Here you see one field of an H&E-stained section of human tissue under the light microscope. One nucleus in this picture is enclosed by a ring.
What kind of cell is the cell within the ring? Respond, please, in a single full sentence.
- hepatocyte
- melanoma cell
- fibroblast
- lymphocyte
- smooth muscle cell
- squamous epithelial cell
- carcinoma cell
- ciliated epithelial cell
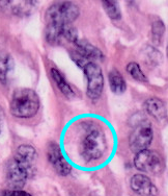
In cell-type terms, the cell within the ring is a melanoma cell.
